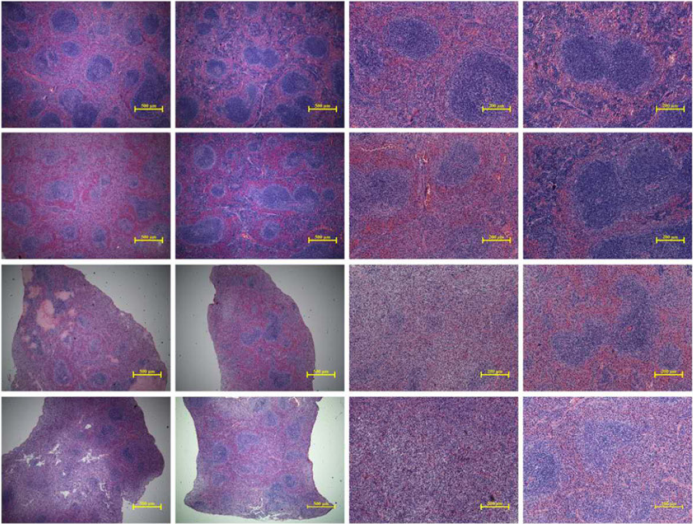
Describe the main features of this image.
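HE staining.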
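The white pulp appears as rounded nodules crowded with small dark blue-purple lymphocyte nuclei, lying in the pinker, looser red pulp. In several of the sections the nodules are small, faint or barely made out, and the tissue looks more uniformly pale and disorganised.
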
